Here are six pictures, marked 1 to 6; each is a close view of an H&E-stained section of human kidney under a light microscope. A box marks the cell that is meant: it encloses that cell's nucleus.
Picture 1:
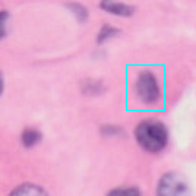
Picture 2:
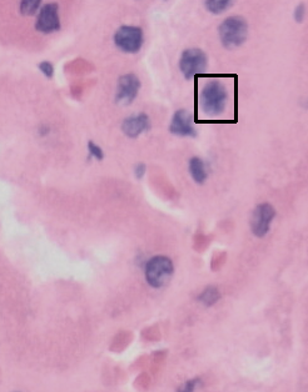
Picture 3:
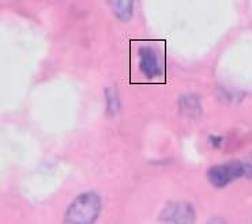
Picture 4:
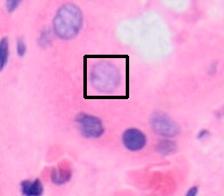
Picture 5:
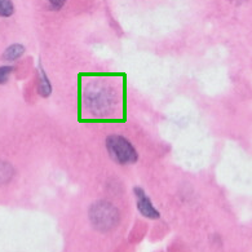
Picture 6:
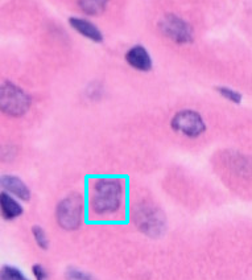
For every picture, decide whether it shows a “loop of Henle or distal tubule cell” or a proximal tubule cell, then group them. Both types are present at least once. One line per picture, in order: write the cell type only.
loop of Henle or distal tubule cell
loop of Henle or distal tubule cell
loop of Henle or distal tubule cell
proximal tubule cell
proximal tubule cell
proximal tubule cell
